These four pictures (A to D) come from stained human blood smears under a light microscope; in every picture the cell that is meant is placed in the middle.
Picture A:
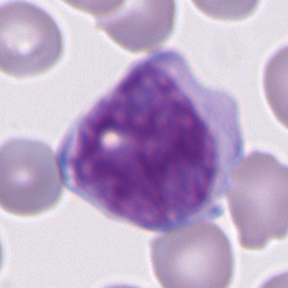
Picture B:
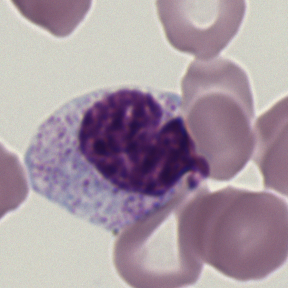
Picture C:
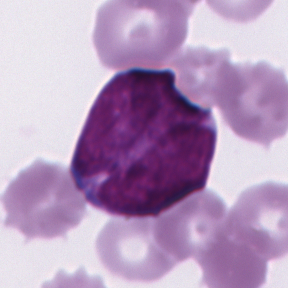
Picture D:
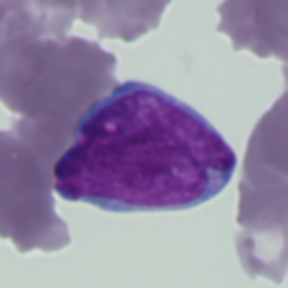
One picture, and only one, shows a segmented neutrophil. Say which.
B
